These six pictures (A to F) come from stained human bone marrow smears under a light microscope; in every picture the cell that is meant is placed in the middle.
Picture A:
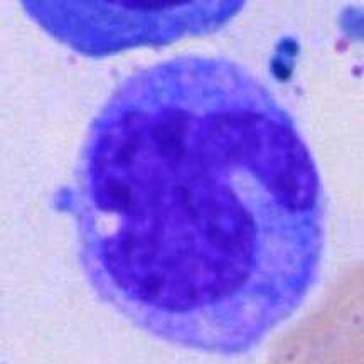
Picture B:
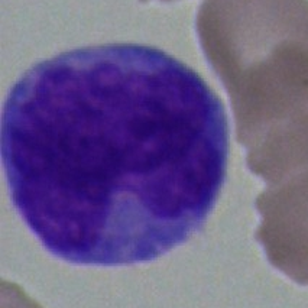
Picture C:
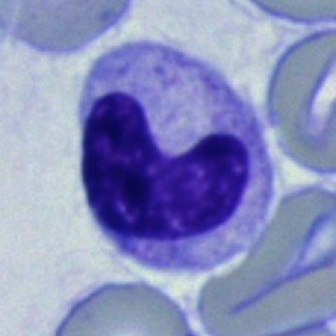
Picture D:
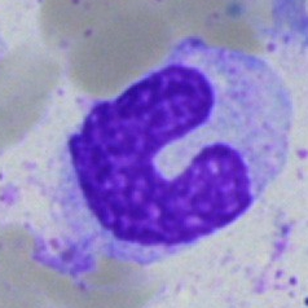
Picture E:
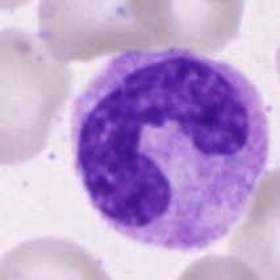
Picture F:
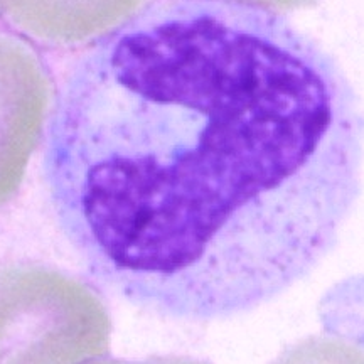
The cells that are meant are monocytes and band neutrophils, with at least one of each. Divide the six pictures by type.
A: monocyte
B: monocyte
C: band neutrophil
D: monocyte
E: band neutrophil
F: band neutrophil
